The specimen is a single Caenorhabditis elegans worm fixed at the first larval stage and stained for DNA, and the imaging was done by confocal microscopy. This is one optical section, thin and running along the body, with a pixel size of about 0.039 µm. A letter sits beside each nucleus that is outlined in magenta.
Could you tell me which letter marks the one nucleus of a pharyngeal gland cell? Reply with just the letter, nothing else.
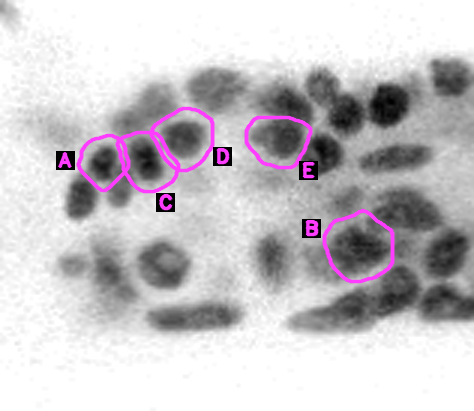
C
